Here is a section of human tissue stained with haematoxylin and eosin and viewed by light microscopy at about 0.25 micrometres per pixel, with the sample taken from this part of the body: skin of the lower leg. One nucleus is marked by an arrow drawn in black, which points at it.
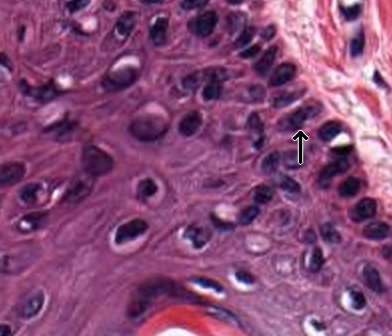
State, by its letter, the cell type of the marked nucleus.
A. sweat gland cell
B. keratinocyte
B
